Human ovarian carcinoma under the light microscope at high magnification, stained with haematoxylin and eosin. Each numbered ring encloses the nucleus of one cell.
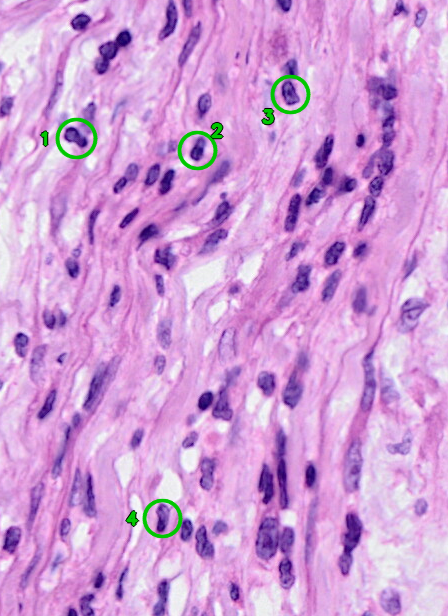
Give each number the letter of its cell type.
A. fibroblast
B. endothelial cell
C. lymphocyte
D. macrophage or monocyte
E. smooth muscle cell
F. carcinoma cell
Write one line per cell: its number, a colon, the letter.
1: C
2: C
3: C
4: D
